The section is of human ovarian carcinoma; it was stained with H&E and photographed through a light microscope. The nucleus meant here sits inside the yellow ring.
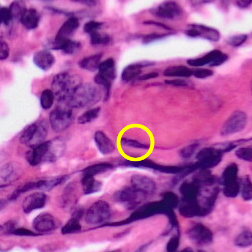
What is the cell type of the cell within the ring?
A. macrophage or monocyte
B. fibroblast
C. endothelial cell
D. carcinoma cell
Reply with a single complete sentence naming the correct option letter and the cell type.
In the section, the cell within the ring is an endothelial cell, and option C is correct accordingly.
